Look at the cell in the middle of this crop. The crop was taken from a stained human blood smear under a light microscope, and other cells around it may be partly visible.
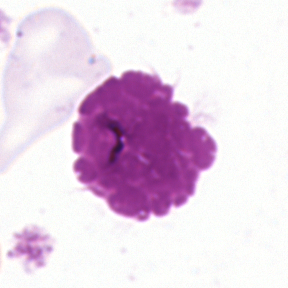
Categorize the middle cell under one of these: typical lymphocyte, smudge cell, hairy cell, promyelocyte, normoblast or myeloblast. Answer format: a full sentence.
The cell at the heart of this crop is a smudge cell.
